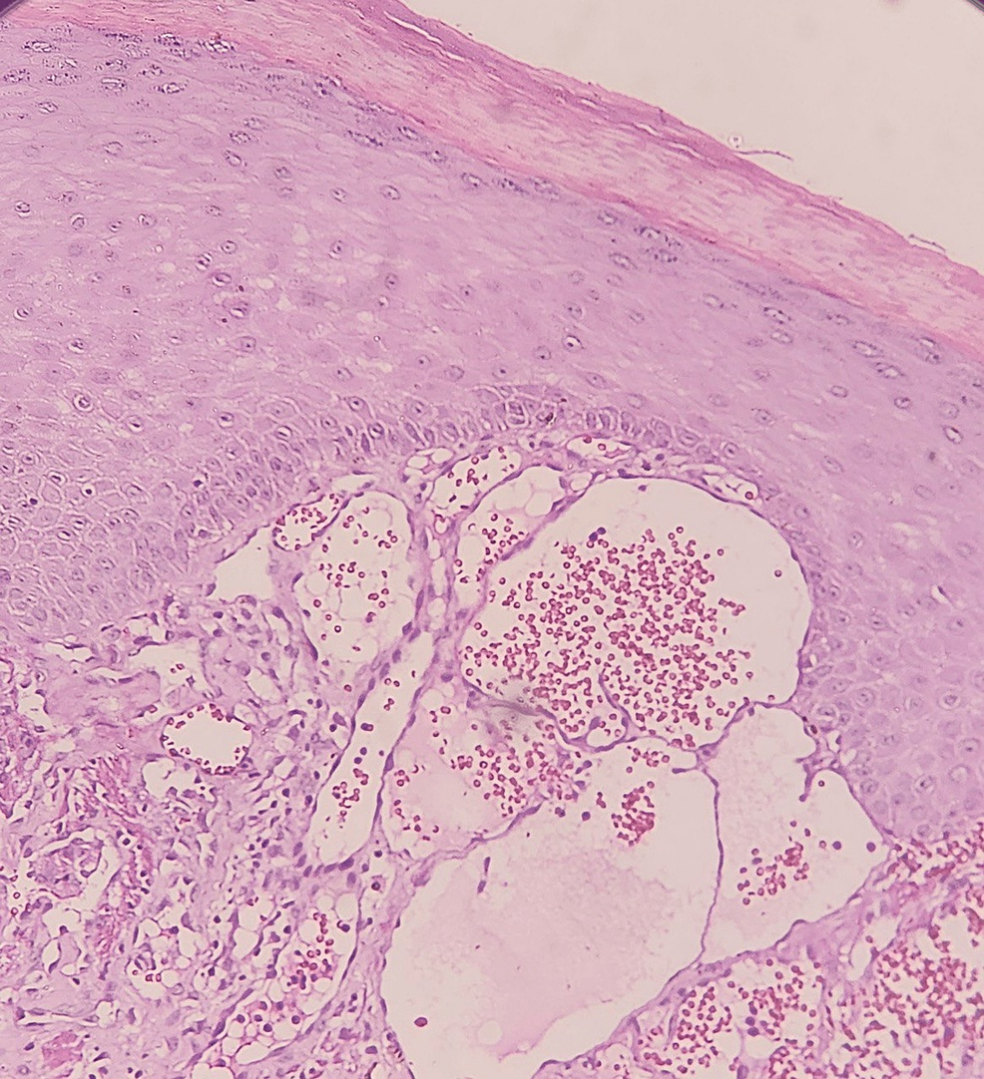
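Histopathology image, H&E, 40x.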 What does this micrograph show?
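The section shows skin with a thick stratified squamous epidermis above and greatly dilated, thin-walled vascular spaces in the upper dermis just beneath it. The surface carries a broad, compact, pink layer of keratin without nuclei, and below it lie many layers of polygonal keratinocytes with round central nuclei and pale pink cytoplasm. The vascular spaces are large and irregular, lined by a thin flattened endothelium, and are filled with red blood cells and pale pink fluid. Between and below these spaces lies loose dermal connective tissue with scattered nuclei and smaller congested vessels.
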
